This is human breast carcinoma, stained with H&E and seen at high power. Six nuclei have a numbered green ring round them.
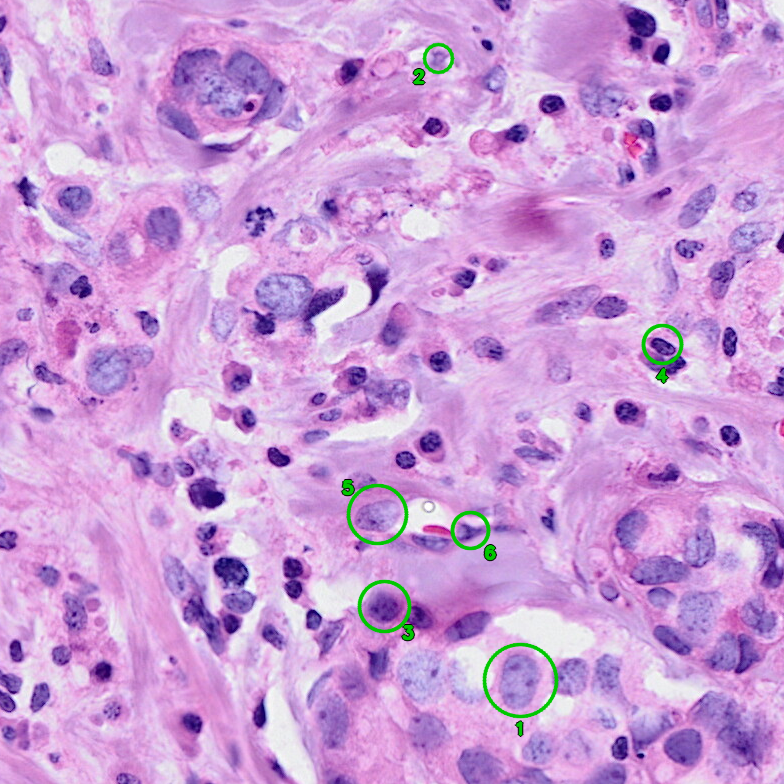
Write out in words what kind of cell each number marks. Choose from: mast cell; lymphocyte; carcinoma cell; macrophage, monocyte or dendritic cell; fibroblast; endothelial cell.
Cell 1 is a carcinoma cell, cell 2 is a fibroblast, cell 3 is a carcinoma cell, cell 4 is a lymphocyte, cell 5 is an endothelial cell and cell 6 is an endothelial cell.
